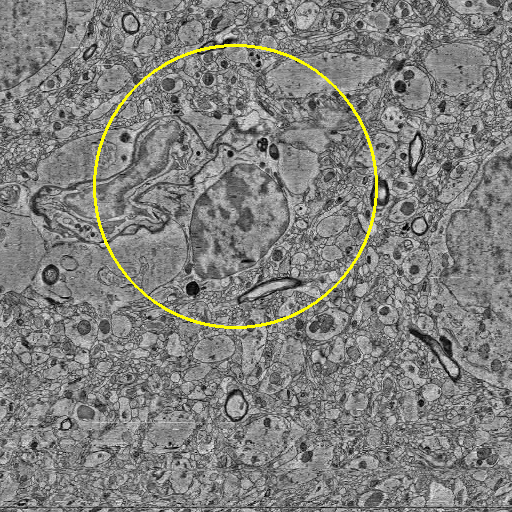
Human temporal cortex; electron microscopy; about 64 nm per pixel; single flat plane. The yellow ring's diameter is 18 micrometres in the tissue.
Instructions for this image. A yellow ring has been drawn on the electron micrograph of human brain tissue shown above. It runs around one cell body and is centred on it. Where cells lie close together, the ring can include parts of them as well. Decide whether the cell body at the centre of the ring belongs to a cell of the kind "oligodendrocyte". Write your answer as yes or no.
no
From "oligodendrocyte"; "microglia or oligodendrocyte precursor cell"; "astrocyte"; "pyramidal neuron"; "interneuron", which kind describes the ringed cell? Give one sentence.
The answer is that the ringed cell is a microglial cell or oligodendrocyte precursor cell.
